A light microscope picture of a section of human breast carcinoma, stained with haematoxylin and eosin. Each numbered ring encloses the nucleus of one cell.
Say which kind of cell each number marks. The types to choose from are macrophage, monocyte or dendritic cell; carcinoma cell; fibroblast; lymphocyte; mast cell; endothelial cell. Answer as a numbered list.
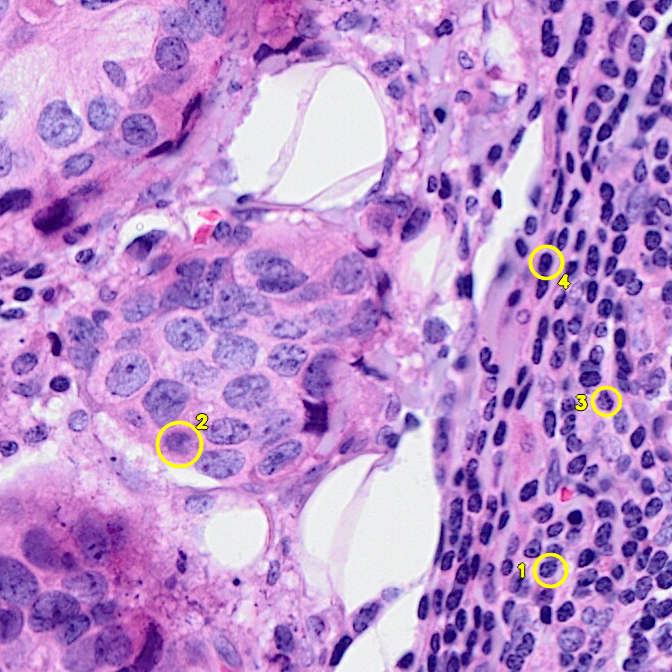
1. lymphocyte
2. carcinoma cell
3. lymphocyte
4. lymphocyte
